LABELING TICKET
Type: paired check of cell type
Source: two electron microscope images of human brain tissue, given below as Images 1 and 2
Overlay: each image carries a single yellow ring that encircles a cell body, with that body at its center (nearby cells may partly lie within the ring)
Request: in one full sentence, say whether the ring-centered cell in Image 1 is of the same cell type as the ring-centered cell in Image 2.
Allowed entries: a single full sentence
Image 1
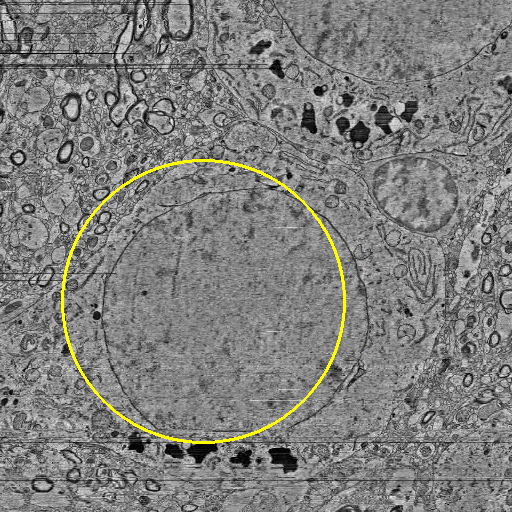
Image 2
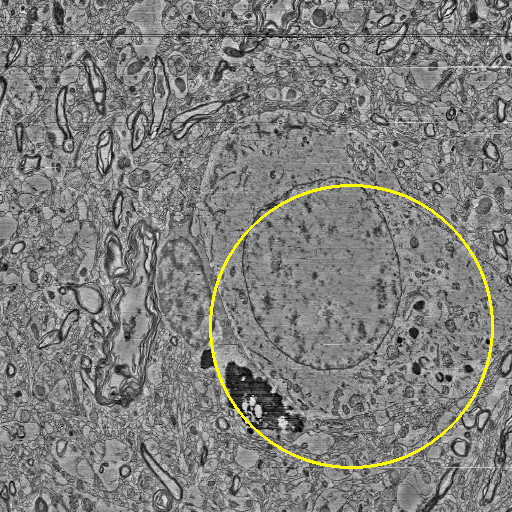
Yes, the cells centered in the rings of Image 1 and Image 2 share one type.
